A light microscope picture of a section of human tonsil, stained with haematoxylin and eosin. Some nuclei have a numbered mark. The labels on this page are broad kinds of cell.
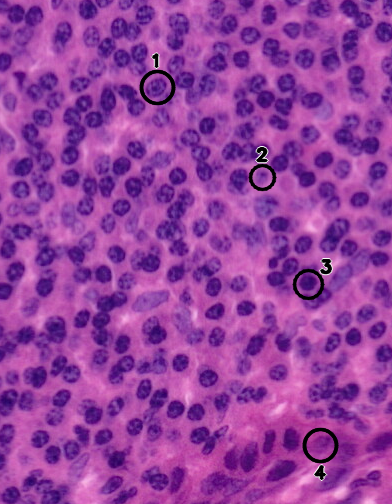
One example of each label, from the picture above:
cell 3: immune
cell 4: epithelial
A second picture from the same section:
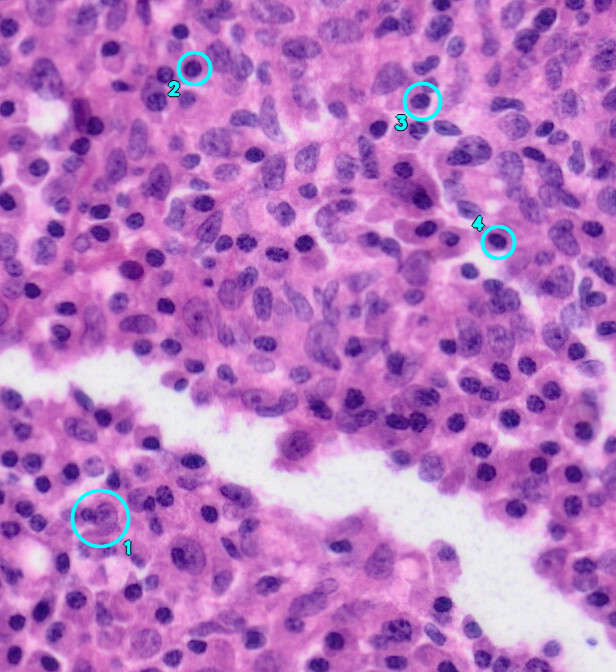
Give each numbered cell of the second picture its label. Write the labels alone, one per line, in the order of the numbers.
epithelial
immune
immune
immune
